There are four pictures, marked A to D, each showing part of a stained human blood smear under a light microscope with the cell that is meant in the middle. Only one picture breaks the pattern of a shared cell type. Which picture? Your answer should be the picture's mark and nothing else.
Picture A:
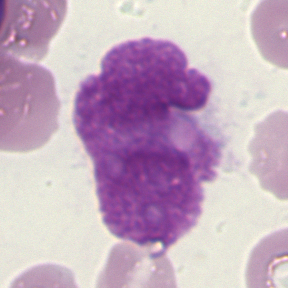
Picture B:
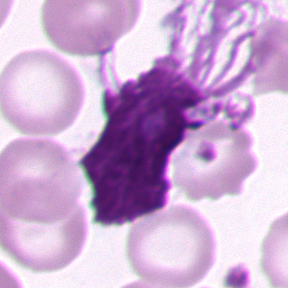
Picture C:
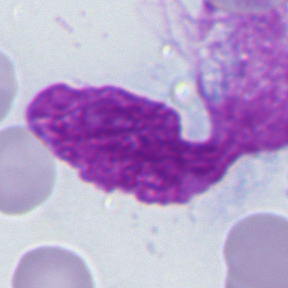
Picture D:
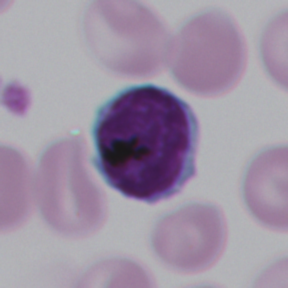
D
